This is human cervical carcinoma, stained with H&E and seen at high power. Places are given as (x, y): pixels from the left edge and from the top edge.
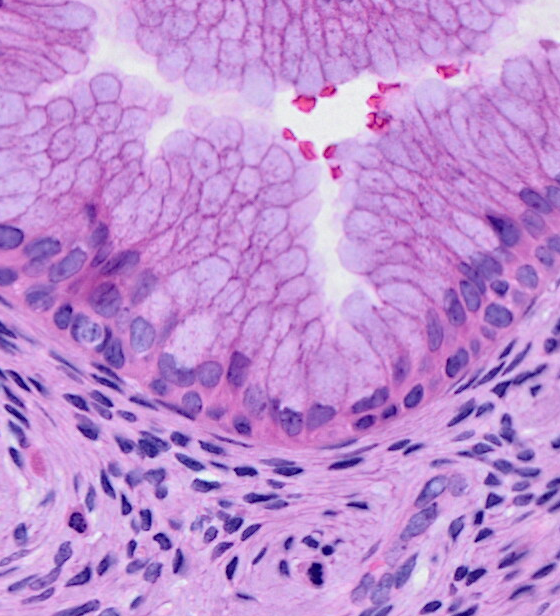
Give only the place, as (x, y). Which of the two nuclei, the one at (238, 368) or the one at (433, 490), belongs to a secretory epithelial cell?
(238, 368)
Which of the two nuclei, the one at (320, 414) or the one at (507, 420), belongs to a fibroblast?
(507, 420)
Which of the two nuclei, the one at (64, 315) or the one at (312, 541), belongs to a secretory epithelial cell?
(64, 315)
